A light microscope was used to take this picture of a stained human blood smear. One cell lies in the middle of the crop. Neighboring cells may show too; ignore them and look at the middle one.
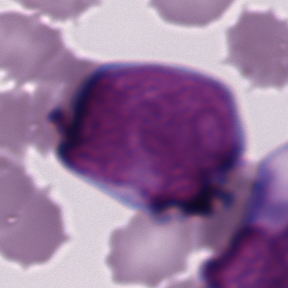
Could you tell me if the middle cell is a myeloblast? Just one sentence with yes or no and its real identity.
Yes, at the centre of the crop lies a myeloblast.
